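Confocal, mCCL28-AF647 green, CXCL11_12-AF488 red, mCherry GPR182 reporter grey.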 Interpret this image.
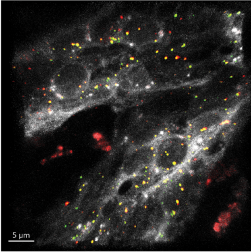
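Many fine red, green and yellow dots are scattered through the grey cytoplasm. A few larger red blobs lie outside the grey lining.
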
